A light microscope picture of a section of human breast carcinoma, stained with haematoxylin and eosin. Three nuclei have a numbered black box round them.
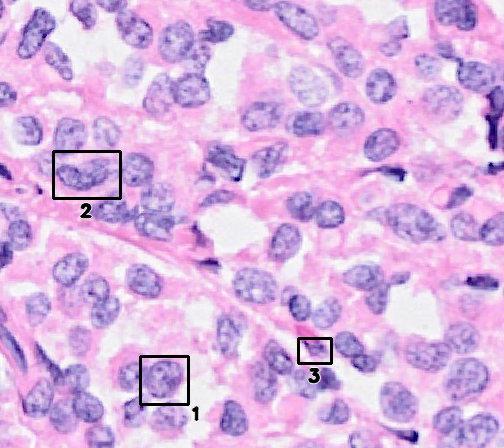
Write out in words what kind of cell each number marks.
Cells 1 and 2 are carcinoma cells. Cell 3 is an endothelial cell.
